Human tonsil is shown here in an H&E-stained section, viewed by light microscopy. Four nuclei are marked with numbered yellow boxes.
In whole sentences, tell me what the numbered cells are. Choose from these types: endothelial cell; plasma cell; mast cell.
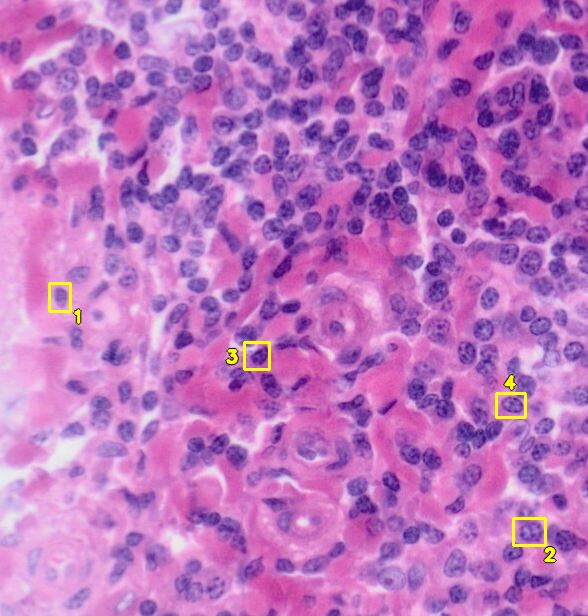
Cell 1 is a mast cell. Cells 2, 3 and 4 are plasma cells.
